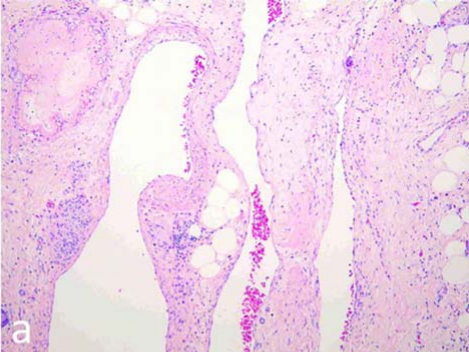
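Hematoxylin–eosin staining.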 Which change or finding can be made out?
Dilated and tortuous veins and arteries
